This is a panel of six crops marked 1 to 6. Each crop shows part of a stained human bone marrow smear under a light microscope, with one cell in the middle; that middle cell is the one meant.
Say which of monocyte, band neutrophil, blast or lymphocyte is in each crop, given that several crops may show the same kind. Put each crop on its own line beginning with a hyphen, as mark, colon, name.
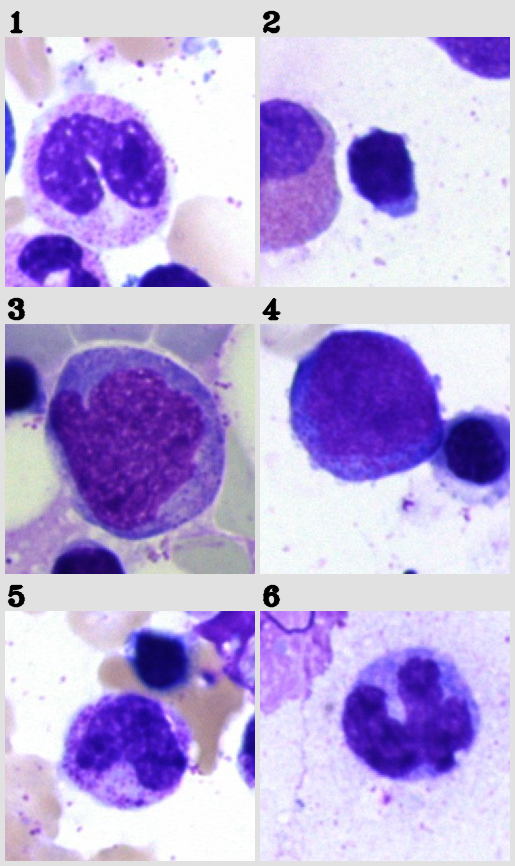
- 1: band neutrophil
- 2: lymphocyte
- 3: monocyte
- 4: blast
- 5: band neutrophil
- 6: monocyte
